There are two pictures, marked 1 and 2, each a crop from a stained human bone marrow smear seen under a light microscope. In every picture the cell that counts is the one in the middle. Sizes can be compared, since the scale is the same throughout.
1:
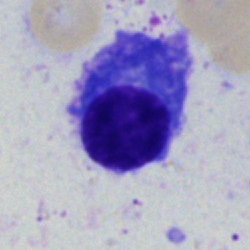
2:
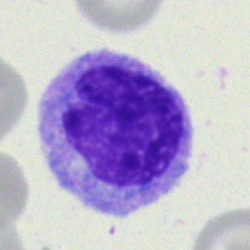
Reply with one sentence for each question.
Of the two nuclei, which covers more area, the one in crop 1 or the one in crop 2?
Larger is the nucleus in crop 2, at roughly 2 times the area of the other.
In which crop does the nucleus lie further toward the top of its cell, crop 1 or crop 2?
It is the nucleus in crop 2 that lies further toward the top of its cell.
